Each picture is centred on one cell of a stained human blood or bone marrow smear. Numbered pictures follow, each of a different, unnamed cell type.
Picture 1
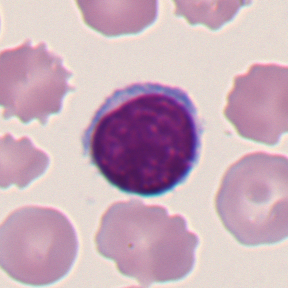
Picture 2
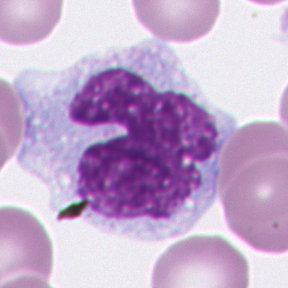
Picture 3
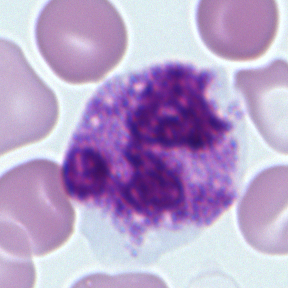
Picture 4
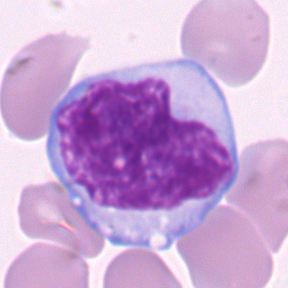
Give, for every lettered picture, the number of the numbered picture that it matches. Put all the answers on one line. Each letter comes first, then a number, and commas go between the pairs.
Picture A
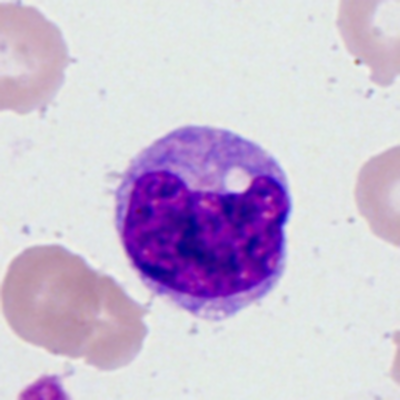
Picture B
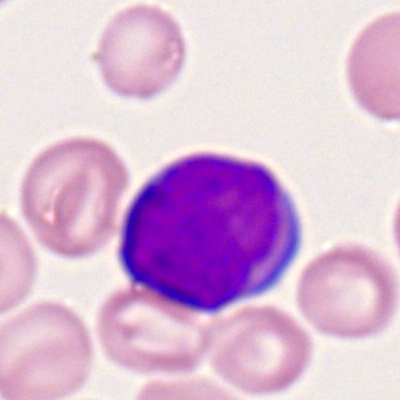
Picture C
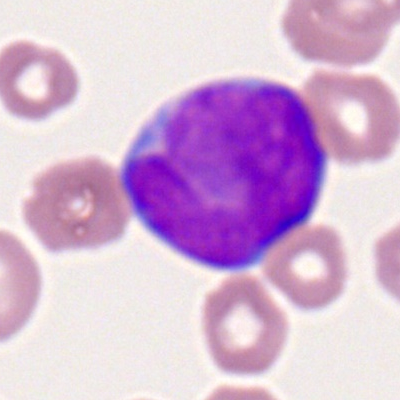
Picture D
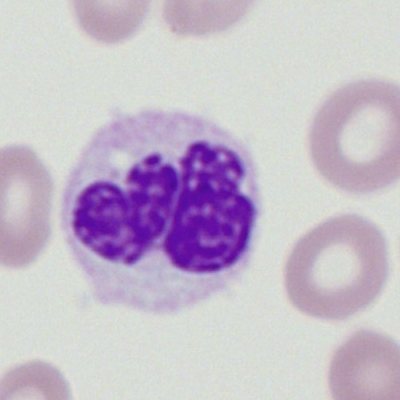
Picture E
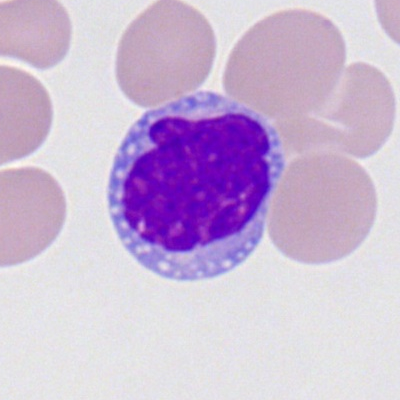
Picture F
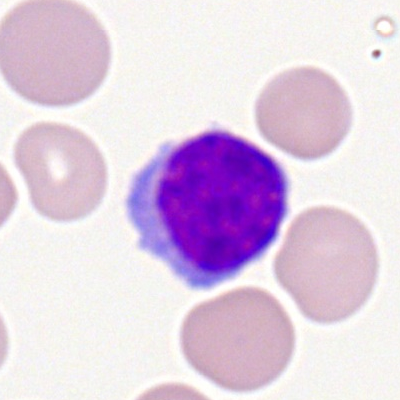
A 2, B 4, C 4, D 2, E 2, F 1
